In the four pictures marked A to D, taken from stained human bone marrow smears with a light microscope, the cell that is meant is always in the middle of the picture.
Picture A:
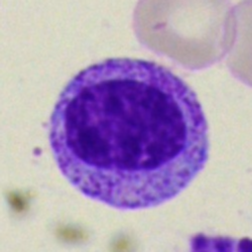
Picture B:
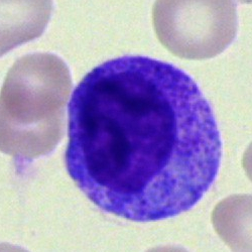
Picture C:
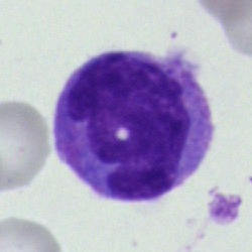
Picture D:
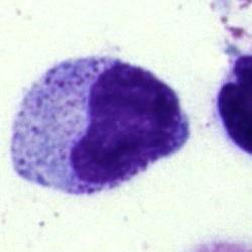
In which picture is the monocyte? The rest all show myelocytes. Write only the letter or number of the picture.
C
